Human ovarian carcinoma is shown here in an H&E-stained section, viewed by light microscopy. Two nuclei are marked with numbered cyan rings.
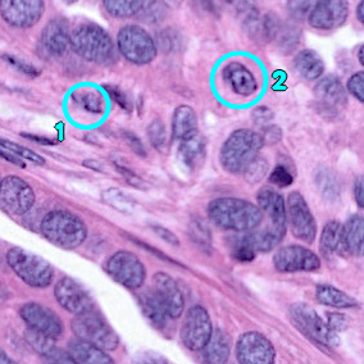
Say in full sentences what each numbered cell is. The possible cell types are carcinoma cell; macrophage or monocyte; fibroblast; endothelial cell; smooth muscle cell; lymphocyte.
Cell 1 is a fibroblast and cell 2 is a macrophage or monocyte.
